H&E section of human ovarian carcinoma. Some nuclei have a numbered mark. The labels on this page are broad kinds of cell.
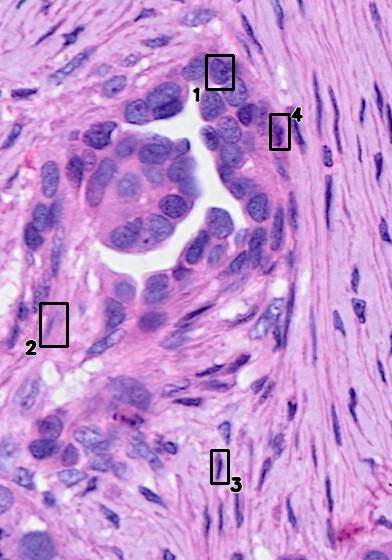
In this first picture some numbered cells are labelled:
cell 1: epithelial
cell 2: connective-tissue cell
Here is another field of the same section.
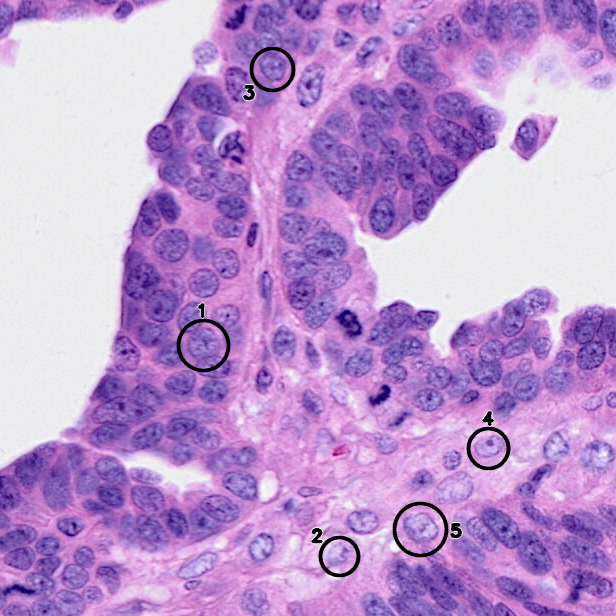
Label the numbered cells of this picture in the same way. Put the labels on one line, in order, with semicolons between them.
epithelial; connective-tissue cell; epithelial; connective-tissue cell; connective-tissue cell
